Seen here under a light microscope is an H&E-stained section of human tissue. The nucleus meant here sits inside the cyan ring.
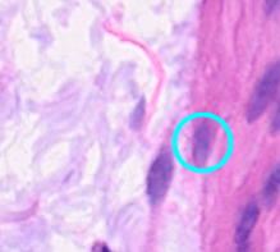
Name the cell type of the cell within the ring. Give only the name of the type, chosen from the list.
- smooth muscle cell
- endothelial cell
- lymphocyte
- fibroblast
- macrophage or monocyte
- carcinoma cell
smooth muscle cell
